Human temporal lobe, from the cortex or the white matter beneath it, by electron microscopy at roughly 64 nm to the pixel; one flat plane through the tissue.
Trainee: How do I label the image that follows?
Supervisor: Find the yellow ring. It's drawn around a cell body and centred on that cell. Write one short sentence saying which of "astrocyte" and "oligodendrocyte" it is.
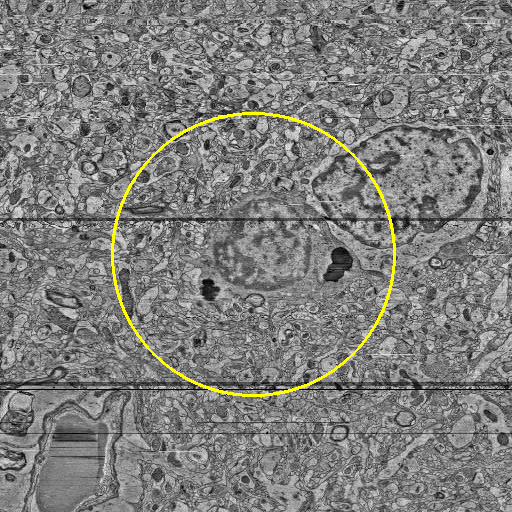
This is the cell body of an oligodendrocyte.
